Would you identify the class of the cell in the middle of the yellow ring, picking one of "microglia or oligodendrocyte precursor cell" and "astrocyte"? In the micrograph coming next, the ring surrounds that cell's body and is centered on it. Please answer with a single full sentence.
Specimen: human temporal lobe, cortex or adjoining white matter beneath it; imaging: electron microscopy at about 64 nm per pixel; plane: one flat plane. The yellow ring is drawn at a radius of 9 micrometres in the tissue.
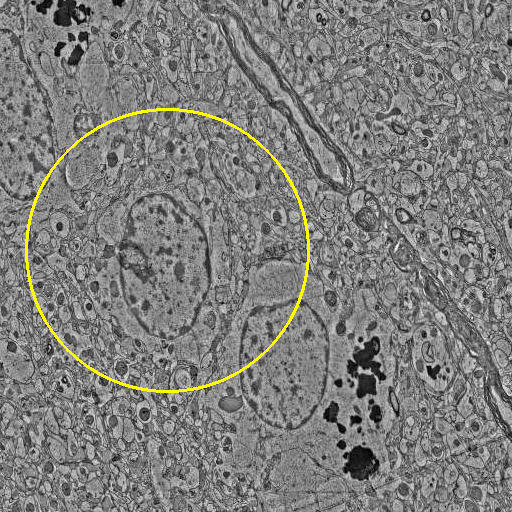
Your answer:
In the micrograph, it is an astrocyte whose body lies at the ring's center.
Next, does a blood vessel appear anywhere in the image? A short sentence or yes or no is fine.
Yes.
